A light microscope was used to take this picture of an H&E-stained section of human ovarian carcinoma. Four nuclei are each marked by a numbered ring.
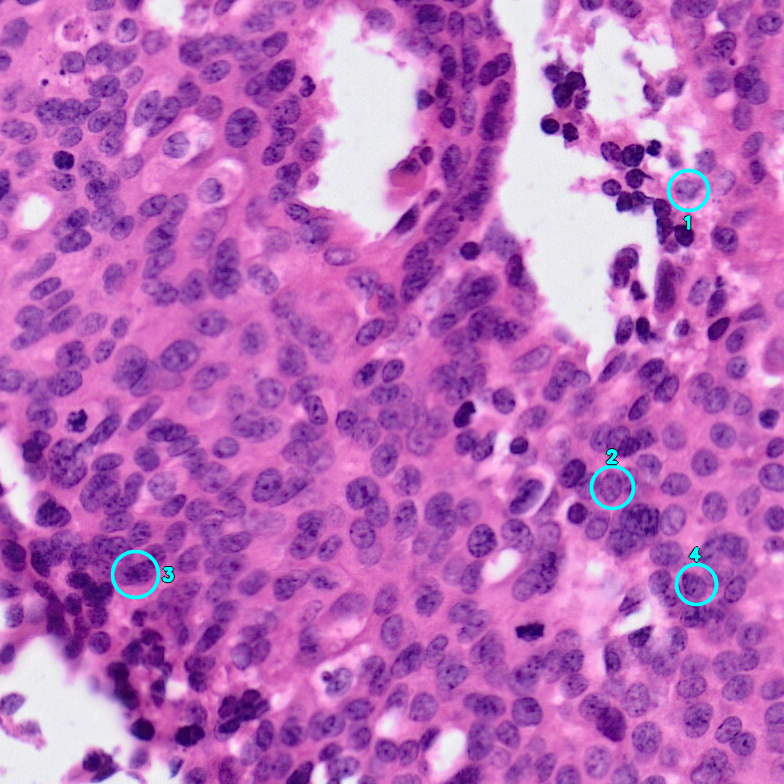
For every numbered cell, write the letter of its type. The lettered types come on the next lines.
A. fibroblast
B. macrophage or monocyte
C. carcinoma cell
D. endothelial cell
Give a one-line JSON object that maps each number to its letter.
{"1": "B", "2": "C", "3": "C", "4": "C"}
